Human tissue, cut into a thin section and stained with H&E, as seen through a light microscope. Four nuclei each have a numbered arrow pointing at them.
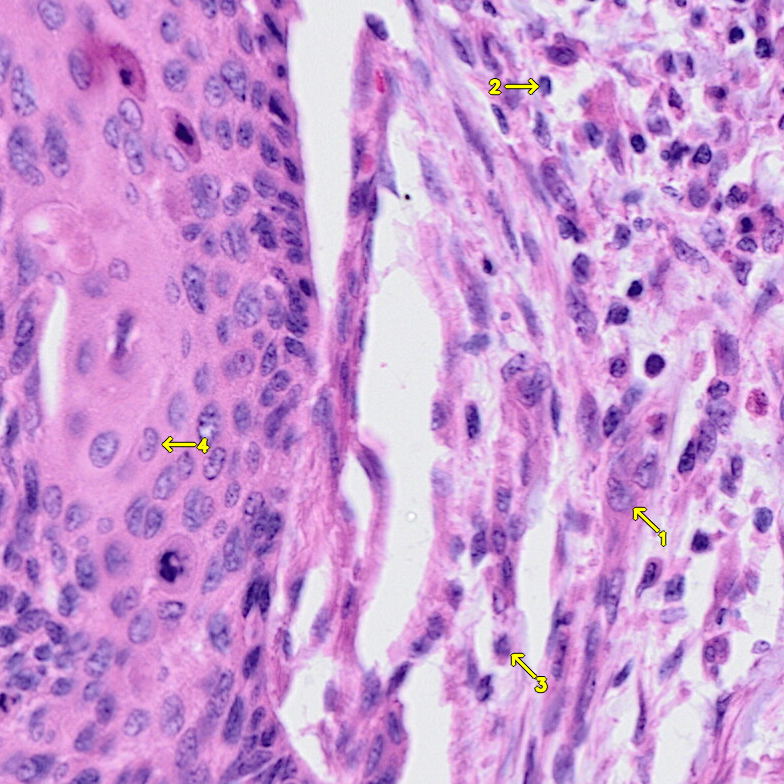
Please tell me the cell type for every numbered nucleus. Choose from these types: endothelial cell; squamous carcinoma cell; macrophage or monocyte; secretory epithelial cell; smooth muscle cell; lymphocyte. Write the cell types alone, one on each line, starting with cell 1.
endothelial cell
lymphocyte
macrophage or monocyte
squamous carcinoma cell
